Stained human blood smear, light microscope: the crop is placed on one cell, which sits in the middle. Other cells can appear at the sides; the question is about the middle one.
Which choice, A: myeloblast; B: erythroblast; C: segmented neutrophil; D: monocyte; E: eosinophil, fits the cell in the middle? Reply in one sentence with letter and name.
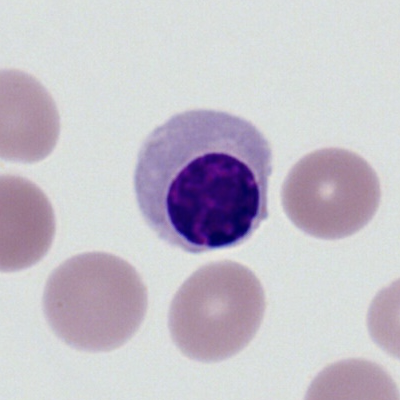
The cell in the center of this crop is an erythroblast, so option B is the one to pick.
